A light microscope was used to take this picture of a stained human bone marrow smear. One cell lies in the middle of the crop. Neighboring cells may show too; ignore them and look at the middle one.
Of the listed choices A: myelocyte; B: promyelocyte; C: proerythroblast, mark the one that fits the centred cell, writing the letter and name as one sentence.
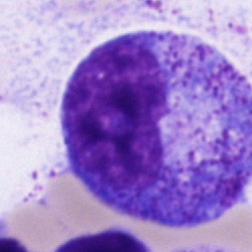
In this crop the middle cell is a promyelocyte, so option B is the correct answer.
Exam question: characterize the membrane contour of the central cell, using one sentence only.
In short, the margin is smooth with no projections at all.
